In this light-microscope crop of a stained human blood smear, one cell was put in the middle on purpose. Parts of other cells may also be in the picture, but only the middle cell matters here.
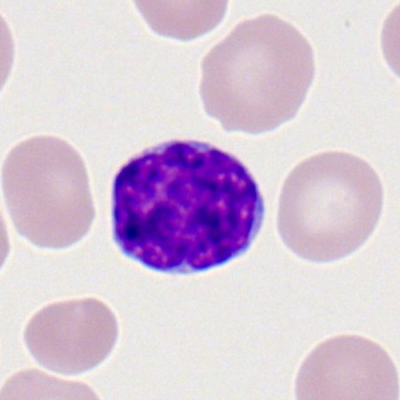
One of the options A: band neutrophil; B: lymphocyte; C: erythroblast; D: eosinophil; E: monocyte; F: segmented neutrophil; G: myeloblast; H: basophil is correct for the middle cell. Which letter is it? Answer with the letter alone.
B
